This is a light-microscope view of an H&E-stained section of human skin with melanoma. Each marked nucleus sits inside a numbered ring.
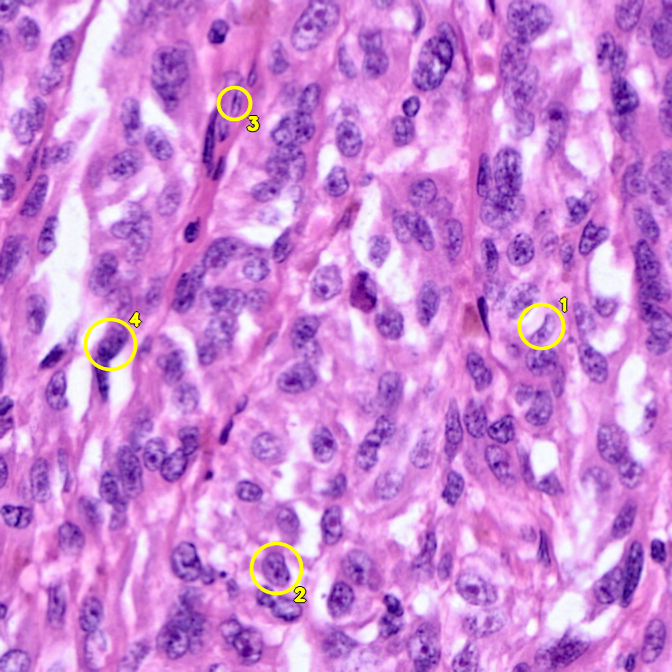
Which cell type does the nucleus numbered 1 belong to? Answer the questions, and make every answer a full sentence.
The cell referred to as 1 is a melanoma cell.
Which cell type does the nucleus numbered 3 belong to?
The cell whose nucleus carries the number 3 is an endothelial cell.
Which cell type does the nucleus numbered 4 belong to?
Recognised here as a melanoma cell is the cell numbered 4.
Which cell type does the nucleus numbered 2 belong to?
In the marked set, the cell given number 2 is a melanoma cell.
